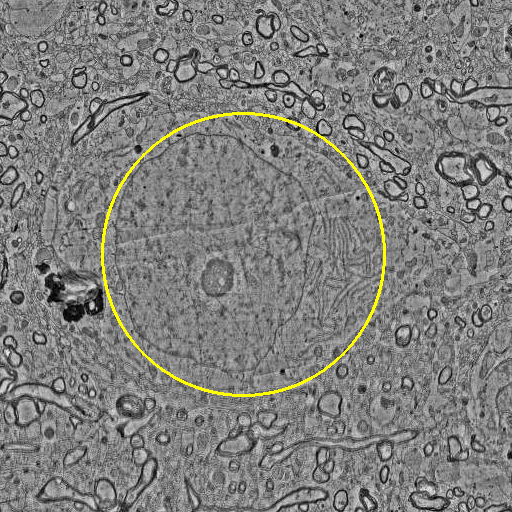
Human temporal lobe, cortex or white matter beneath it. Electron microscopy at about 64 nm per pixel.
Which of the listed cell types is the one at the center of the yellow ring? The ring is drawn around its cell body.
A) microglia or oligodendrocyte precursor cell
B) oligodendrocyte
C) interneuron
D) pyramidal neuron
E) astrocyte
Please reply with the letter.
D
